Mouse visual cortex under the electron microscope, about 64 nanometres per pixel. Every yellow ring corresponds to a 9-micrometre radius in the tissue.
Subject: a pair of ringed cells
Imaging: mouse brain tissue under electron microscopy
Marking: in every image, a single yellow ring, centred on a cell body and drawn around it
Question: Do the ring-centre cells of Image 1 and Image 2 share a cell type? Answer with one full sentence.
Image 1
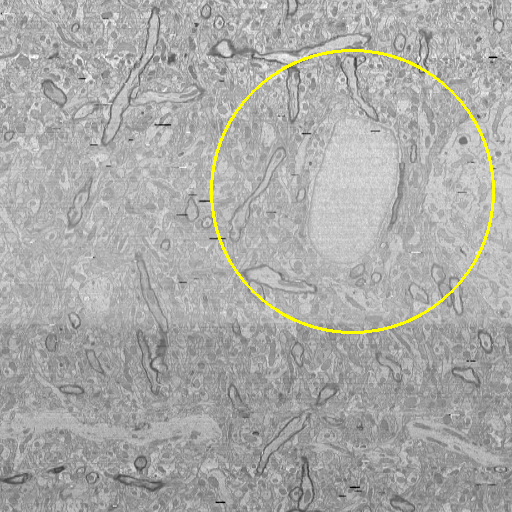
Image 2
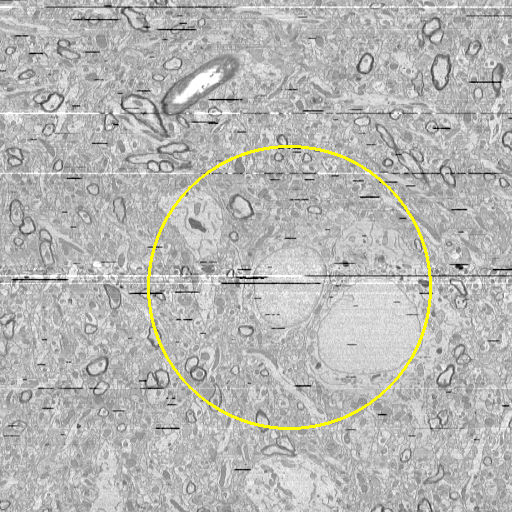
Yes, at each ring's centre in the images sits a cell of one common type.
